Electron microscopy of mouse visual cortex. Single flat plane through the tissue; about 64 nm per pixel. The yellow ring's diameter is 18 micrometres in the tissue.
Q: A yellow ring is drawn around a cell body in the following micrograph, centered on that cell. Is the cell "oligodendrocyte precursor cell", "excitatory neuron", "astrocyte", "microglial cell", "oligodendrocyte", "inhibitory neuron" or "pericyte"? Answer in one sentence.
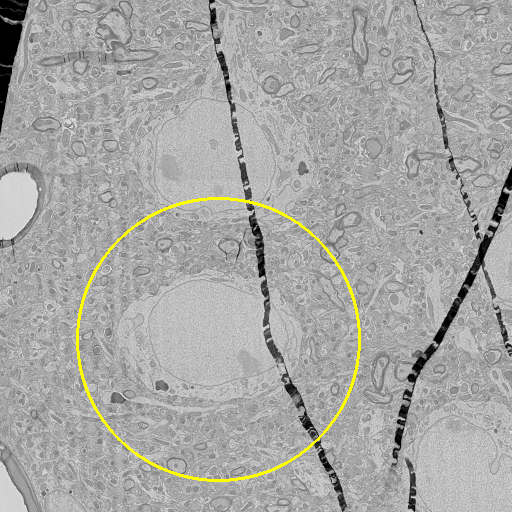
The cell in the center of the ring is an excitatory neuron.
